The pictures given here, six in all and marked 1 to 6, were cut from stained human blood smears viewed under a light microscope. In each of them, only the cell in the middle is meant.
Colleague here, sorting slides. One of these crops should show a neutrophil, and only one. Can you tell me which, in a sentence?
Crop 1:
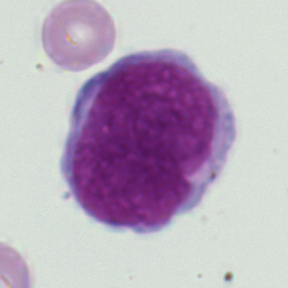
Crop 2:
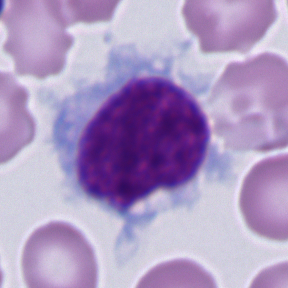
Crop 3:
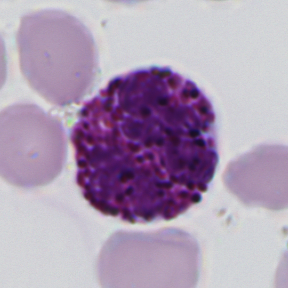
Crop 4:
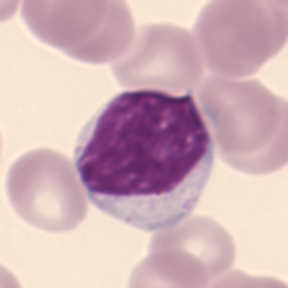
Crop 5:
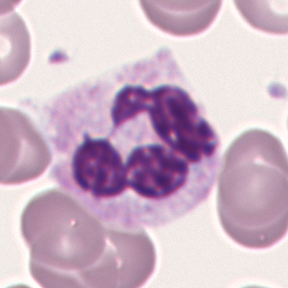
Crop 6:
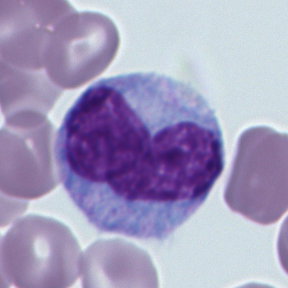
Within this set, crop 5 is the one with a neutrophil at its center.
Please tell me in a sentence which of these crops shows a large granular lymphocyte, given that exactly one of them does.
Among all the crops given here, the one with a large granular lymphocyte is crop 4.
